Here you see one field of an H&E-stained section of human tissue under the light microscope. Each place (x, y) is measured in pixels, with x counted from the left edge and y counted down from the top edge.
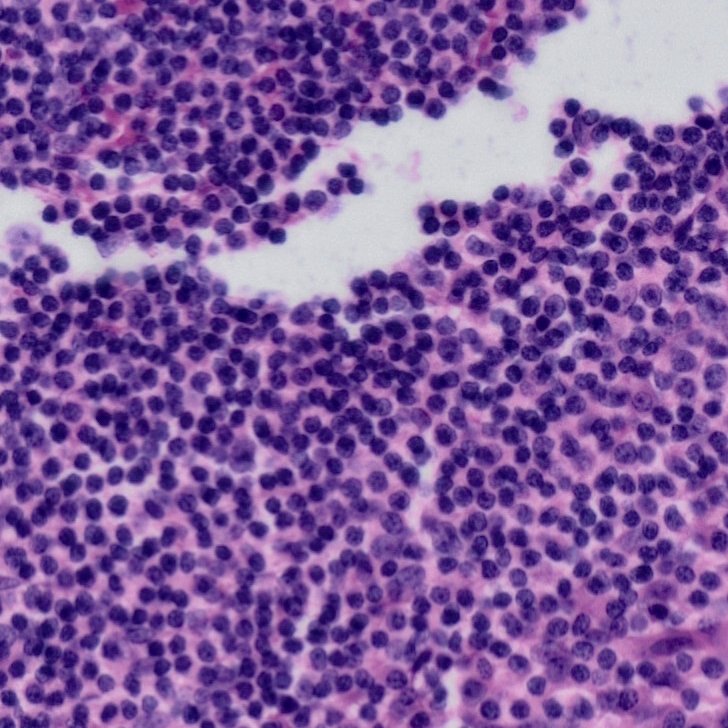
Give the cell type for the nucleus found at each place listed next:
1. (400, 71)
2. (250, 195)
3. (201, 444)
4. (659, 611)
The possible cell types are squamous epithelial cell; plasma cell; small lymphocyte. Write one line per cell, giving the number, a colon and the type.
1: small lymphocyte
2: small lymphocyte
3: small lymphocyte
4: plasma cell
